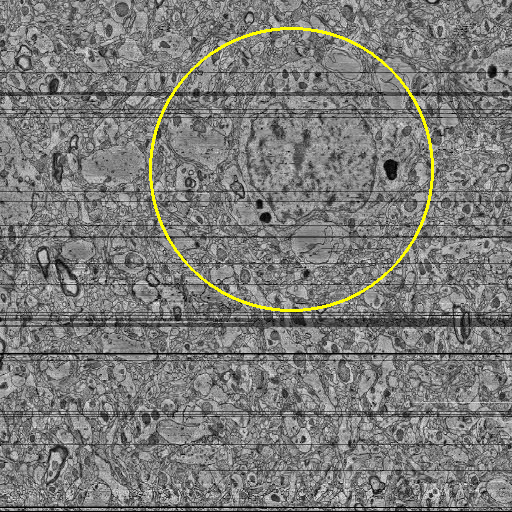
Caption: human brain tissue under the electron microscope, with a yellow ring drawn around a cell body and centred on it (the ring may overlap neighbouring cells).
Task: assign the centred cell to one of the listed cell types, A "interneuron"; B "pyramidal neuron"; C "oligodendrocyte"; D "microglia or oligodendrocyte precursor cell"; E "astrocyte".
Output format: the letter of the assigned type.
A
